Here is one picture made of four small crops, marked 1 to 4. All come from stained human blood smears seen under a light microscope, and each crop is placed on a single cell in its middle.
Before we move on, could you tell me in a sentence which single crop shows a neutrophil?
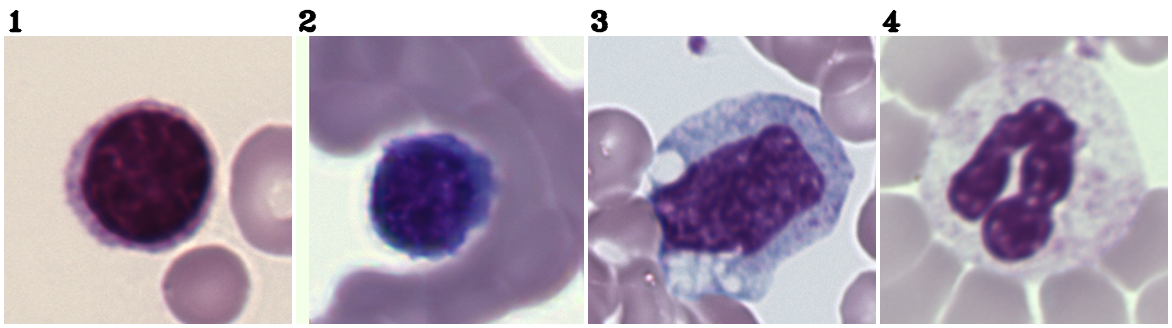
Crop 4 is the one that shows a neutrophil.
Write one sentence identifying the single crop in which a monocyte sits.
Crop 3 is the one in the set with a monocyte at the center.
